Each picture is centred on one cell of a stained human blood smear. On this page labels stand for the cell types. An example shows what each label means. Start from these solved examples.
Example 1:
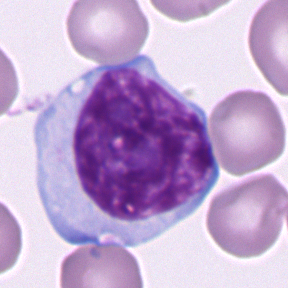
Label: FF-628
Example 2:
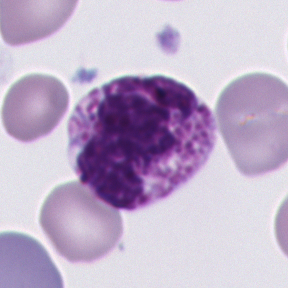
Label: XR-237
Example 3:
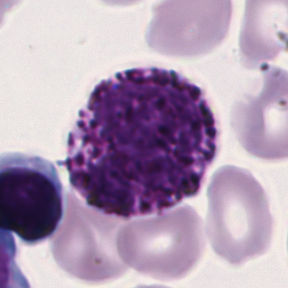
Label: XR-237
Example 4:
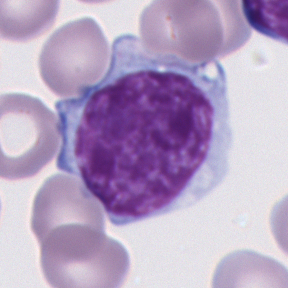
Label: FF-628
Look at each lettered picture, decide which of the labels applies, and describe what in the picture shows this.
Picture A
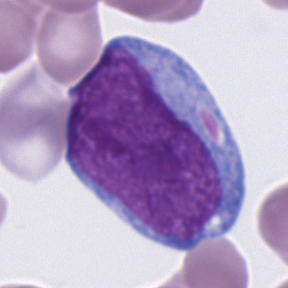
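Label: FF-628. The cytoplasm is blue.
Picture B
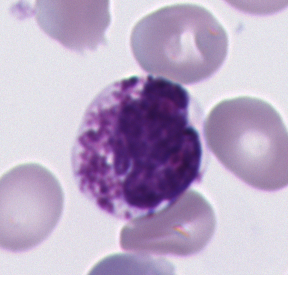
Label: XR-237. The cytoplasm between the granules is very pale, almost colourless.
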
